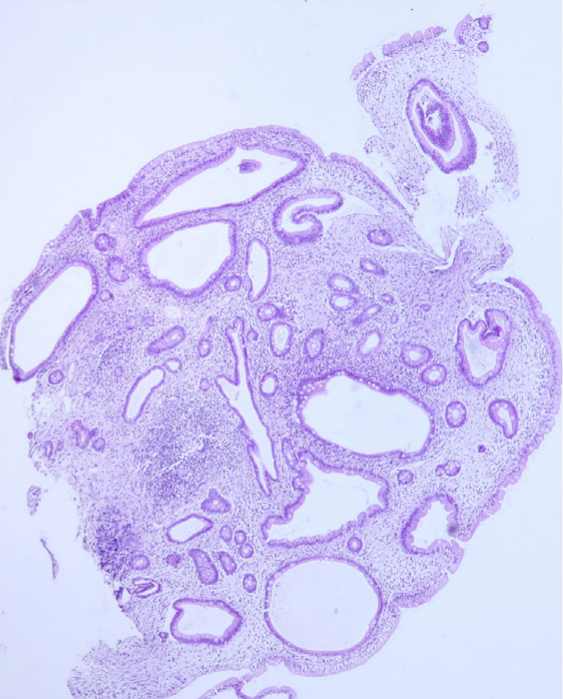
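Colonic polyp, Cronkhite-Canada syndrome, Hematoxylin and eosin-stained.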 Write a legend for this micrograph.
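The fragment is rounded and covered by a thin surface epithelium. Glands vary greatly in size and shape: some are small round or tubular profiles, others are widened into large empty cysts lined by a single thin layer of purple epithelium, a few folded or branching. The stroma between glands is abundant and pink-purple, with denser dark purple cellular aggregates of inflammatory cells, most marked toward the lower left. A small detached gland fragment lies at the upper right edge.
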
